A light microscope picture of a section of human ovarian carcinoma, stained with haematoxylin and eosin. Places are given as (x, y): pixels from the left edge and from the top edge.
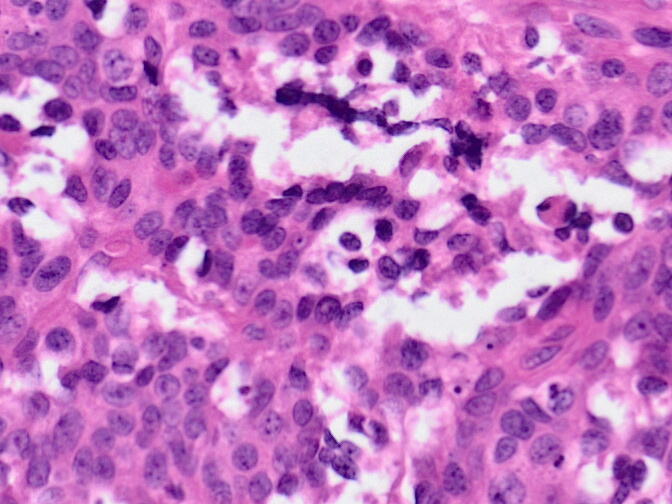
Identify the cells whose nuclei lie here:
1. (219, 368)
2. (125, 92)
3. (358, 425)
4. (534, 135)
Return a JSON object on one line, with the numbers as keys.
{"1": "carcinoma cell", "2": "carcinoma cell", "3": "carcinoma cell", "4": "macrophage or monocyte"}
